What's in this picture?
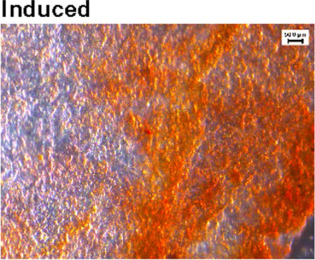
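The staining forms broad, confluent patches that cover most of the field, with a paler bluish-grey region at one side. Single cells can hardly be told apart because the layer is crowded and overlaid by the red deposit.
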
